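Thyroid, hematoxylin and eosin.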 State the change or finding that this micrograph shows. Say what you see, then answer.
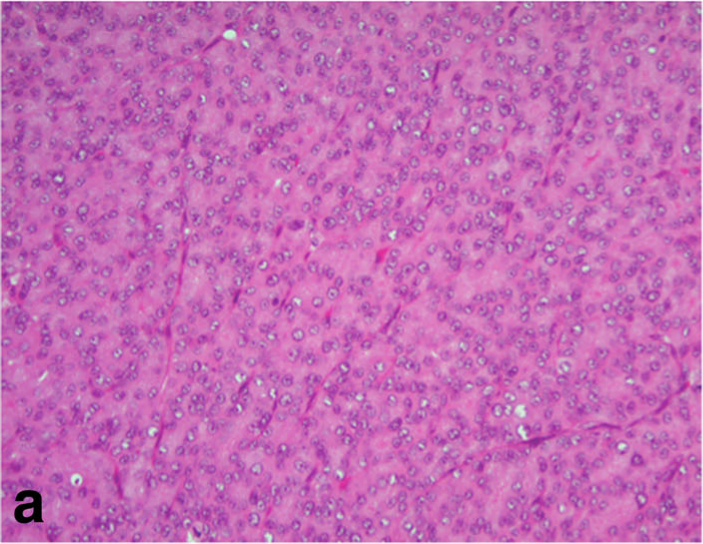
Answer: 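Tumour cells form broad, continuous sheets. Only thin strands of pink fibrovascular tissue divide the sheets. No well-formed colloid-filled follicles are seen. The answer: solid.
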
